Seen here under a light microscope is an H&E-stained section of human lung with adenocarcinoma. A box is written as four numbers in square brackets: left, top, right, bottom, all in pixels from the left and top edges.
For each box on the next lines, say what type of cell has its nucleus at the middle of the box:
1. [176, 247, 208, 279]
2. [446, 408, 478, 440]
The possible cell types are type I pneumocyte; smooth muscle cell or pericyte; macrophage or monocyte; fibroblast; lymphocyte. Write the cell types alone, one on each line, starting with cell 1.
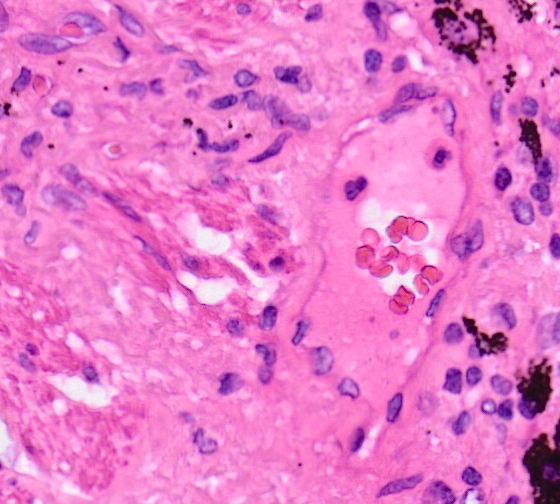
smooth muscle cell or pericyte
lymphocyte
